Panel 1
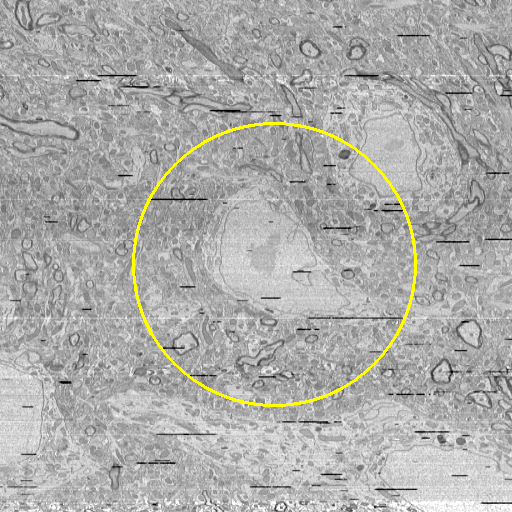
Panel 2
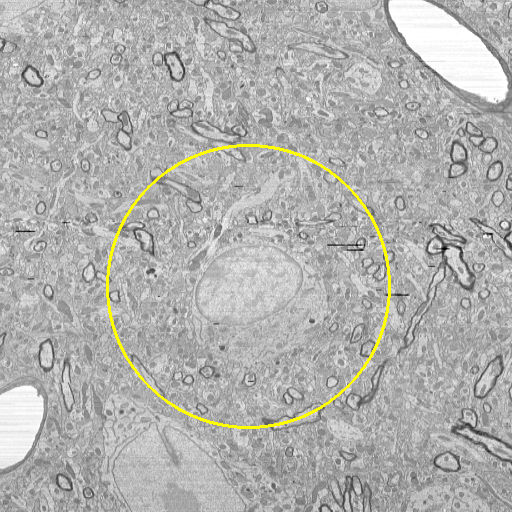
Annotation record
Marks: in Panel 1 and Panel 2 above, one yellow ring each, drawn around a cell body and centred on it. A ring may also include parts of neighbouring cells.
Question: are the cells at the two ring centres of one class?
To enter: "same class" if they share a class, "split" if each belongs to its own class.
split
